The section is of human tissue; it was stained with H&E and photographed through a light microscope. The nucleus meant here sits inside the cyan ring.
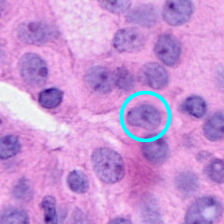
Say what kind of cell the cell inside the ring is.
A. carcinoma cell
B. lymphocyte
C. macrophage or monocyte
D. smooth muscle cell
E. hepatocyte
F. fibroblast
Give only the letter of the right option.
A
